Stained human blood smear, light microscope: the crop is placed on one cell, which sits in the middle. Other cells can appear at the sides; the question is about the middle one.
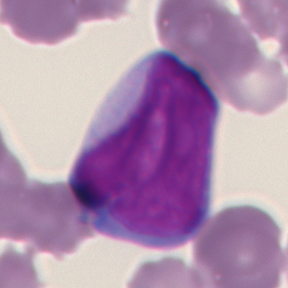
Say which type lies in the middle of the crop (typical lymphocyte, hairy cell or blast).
blast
